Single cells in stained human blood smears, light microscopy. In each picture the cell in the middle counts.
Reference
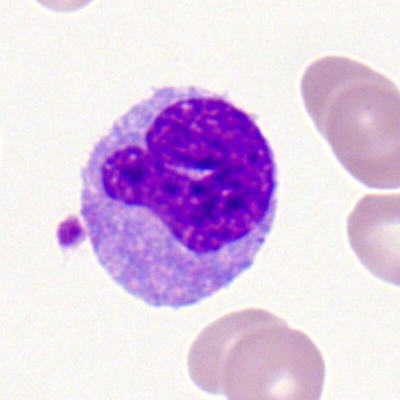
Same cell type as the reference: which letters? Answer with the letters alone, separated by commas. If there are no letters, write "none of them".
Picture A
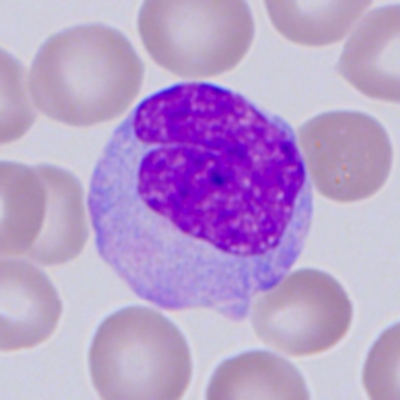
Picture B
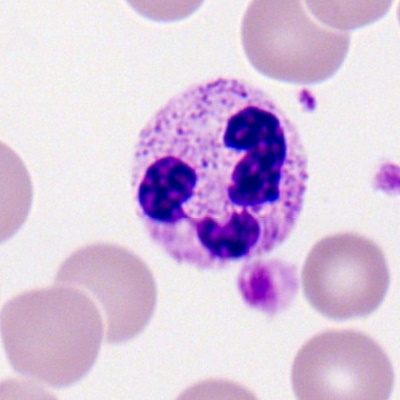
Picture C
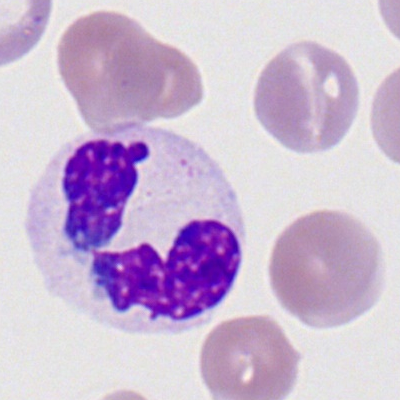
A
